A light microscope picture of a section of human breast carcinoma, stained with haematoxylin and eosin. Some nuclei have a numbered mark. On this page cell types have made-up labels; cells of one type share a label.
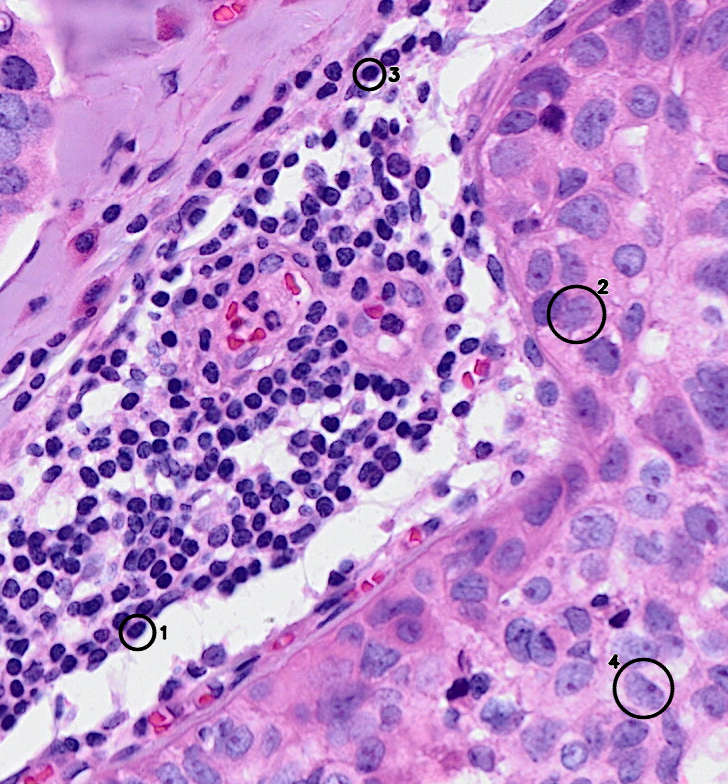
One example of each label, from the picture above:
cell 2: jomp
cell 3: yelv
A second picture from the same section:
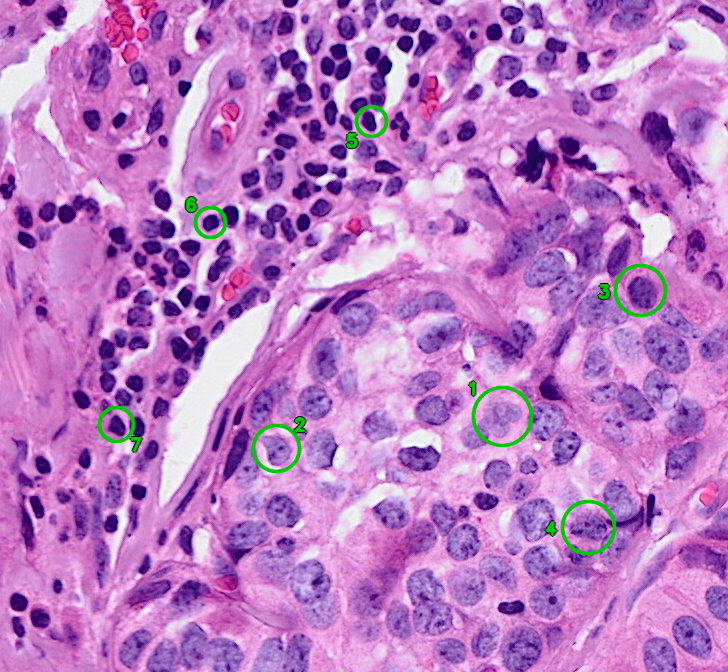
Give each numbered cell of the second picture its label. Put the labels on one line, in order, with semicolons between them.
jomp; jomp; jomp; jomp; yelv; yelv; yelv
